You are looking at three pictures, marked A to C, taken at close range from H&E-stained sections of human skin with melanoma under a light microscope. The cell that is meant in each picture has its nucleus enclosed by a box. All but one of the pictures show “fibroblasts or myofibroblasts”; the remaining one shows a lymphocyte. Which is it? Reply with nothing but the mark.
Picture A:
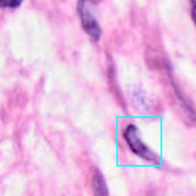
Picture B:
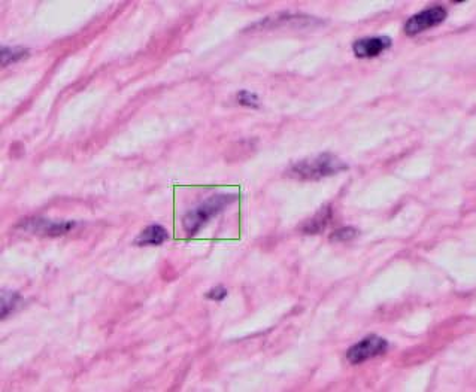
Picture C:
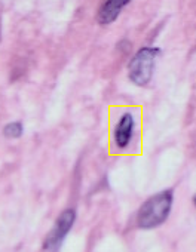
C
